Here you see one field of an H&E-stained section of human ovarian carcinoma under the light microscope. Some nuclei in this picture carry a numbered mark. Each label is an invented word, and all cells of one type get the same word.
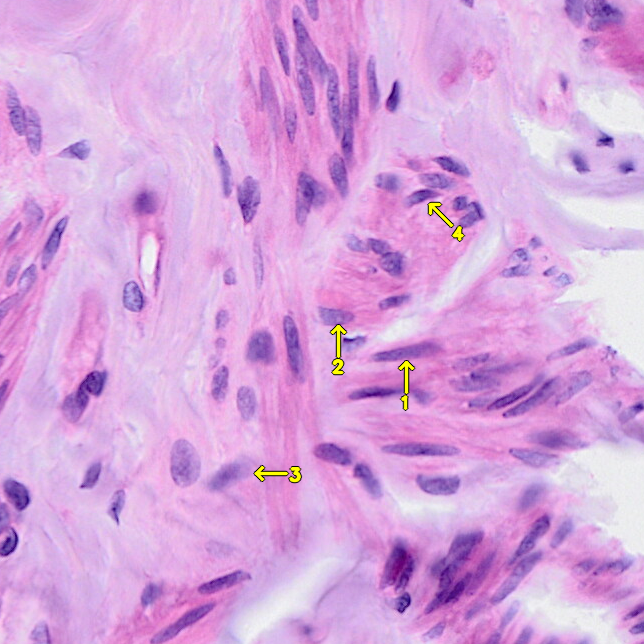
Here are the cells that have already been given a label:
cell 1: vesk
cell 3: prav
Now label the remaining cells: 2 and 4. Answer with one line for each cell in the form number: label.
2: vesk
4: vesk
